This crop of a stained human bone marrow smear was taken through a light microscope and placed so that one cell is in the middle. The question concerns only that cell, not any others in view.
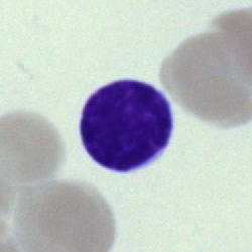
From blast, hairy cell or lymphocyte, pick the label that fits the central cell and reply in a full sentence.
The cell positioned in the middle of the field is a lymphocyte.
